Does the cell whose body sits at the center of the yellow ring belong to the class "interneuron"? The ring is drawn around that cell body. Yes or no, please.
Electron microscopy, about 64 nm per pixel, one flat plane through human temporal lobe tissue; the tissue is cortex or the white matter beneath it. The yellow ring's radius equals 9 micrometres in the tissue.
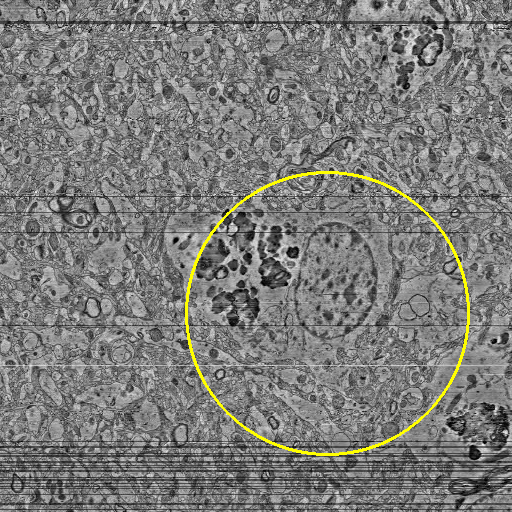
No, it belongs to another class.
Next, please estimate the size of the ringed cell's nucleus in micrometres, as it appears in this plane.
In this plane the nucleus spans approximately 8 by 5 micrometers.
